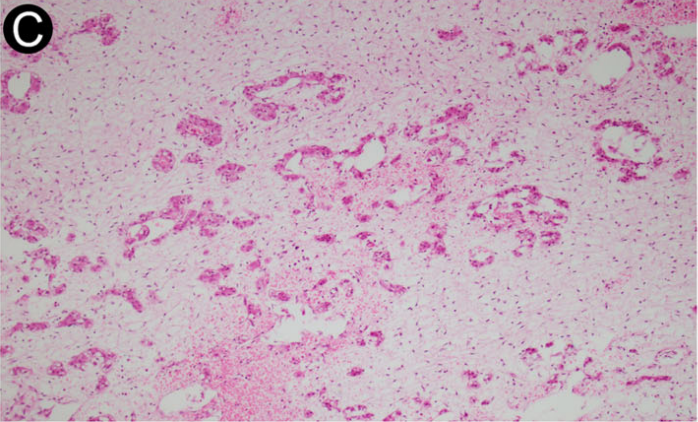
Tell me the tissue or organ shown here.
myxoid stroma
